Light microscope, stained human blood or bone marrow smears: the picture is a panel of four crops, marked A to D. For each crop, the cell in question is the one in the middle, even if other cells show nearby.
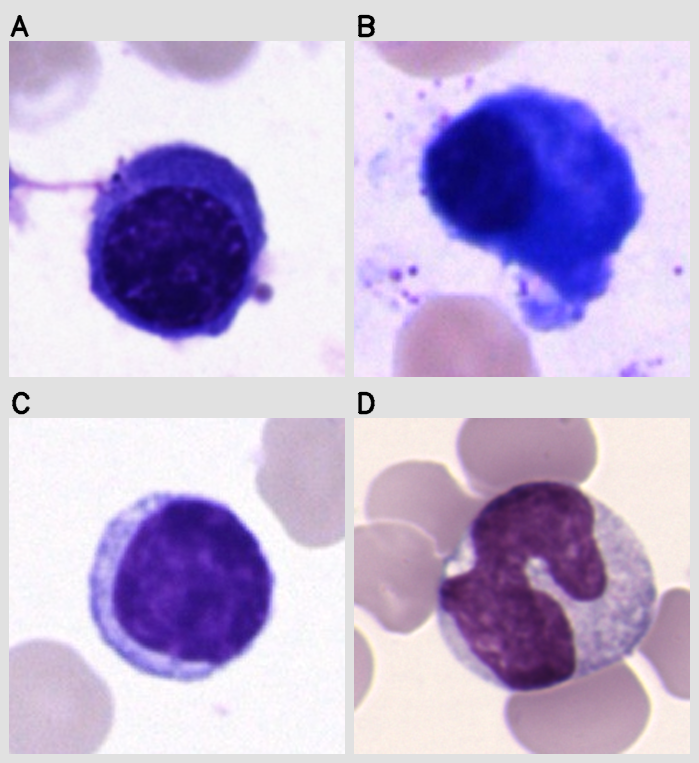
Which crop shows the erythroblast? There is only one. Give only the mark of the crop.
A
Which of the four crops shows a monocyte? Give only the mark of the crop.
D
